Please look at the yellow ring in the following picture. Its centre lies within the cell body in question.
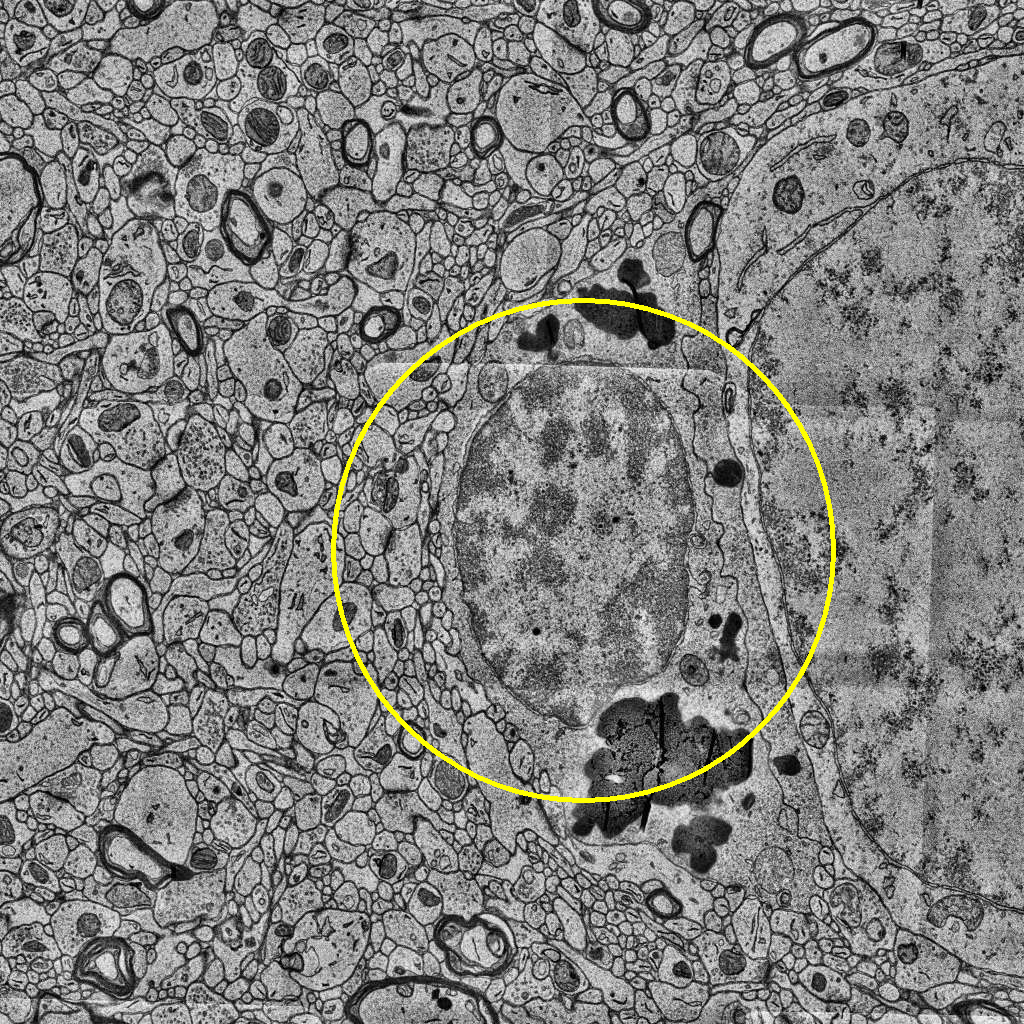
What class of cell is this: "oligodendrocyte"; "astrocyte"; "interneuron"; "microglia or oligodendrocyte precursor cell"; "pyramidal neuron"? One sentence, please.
The centre of the ring lies in the cell body of an oligodendrocyte.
